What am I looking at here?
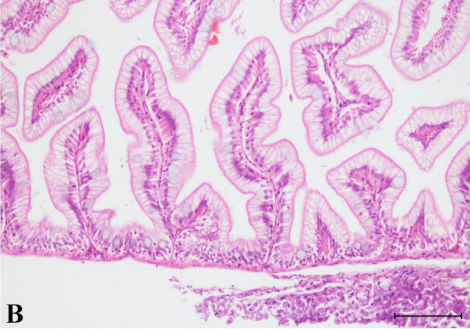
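Long, branching mucosal folds are lined by very tall columnar epithelial cells whose apical cytoplasm is pale and clear above a row of purple nuclei, with thin pink connective-tissue cores inside each fold and a thin wall below. These are specialized enterocytes whose pale apical zone corresponds to supranuclear vacuoles.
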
